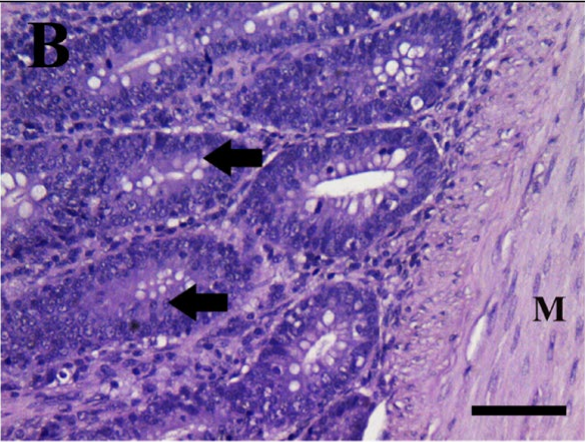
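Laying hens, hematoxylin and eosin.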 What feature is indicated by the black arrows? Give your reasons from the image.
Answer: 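Rounded and elongated glands with central lumens. Lining of columnar cells with many clear goblet-cell vacuoles. On this evidence: crypts.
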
